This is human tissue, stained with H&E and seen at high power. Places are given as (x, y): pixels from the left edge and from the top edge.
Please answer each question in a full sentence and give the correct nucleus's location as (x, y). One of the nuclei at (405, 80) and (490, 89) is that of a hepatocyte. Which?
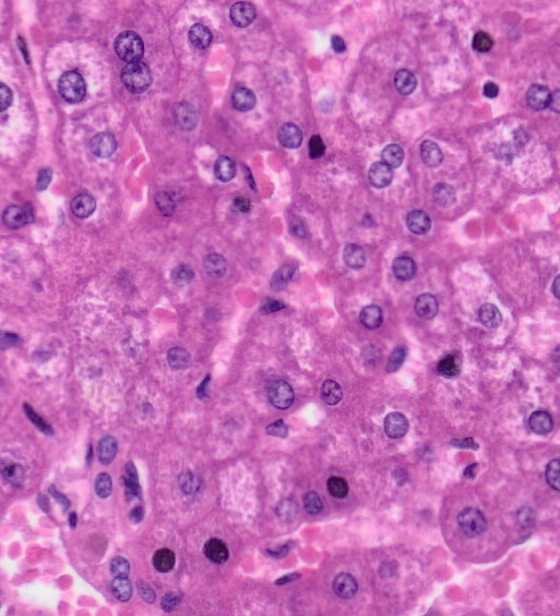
Which one belongs to a hepatocyte? The nucleus at (405, 80) does.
